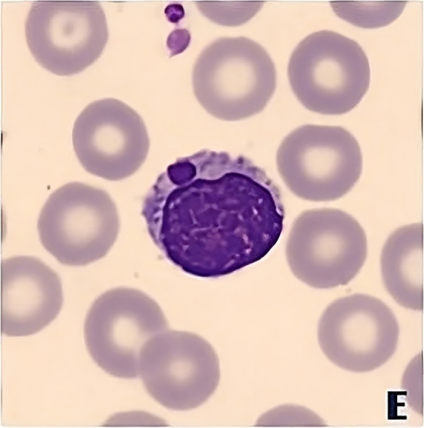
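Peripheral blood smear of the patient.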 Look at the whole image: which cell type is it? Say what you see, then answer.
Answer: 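Lymphocytes. A round dense purple nucleus fills most of the cell, leaving a thin rim of cytoplasm.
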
